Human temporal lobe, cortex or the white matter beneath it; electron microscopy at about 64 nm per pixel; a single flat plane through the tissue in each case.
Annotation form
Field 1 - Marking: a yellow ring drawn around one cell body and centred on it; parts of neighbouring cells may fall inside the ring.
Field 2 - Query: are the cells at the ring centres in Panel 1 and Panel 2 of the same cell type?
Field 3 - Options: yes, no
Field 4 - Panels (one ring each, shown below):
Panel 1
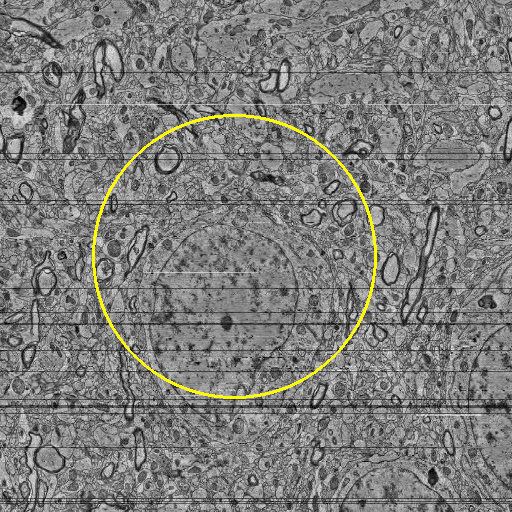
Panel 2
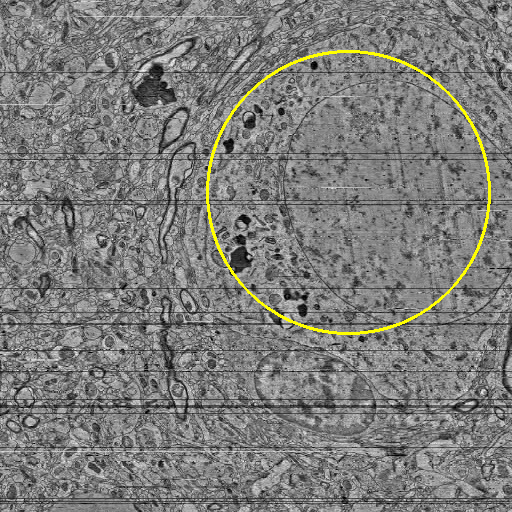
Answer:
yes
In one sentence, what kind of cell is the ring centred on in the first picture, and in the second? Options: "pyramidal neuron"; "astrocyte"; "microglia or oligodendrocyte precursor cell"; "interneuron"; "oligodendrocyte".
Each of the two rings is centred on a pyramidal neuron.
